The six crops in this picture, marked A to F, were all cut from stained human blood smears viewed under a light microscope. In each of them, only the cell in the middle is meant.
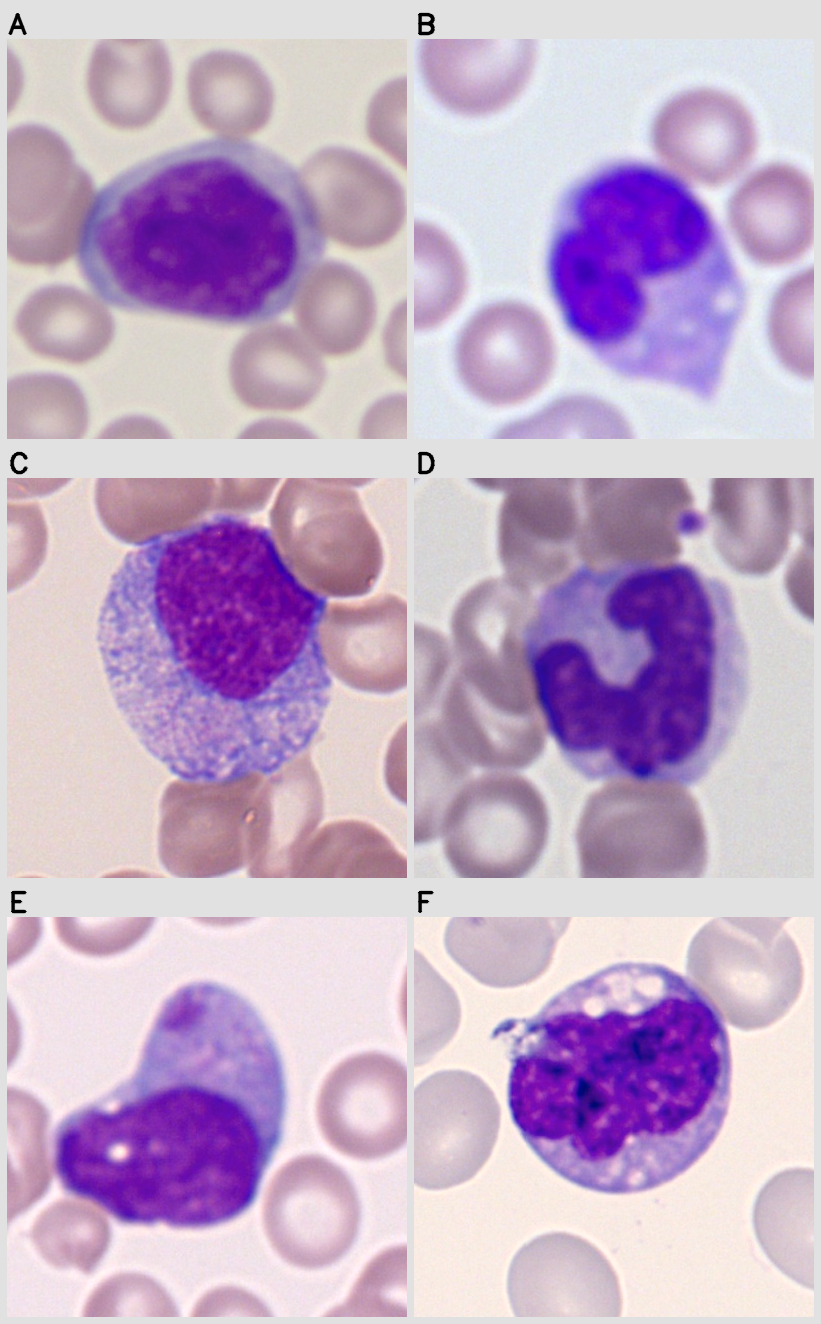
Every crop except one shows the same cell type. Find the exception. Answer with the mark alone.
A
